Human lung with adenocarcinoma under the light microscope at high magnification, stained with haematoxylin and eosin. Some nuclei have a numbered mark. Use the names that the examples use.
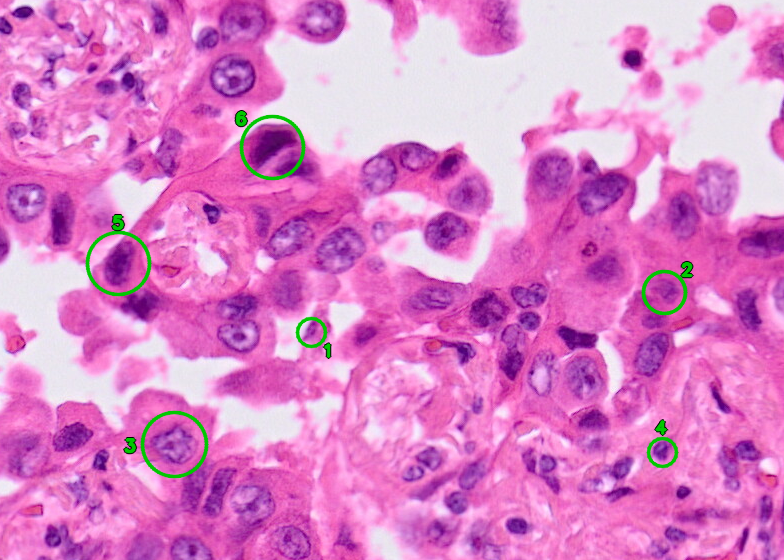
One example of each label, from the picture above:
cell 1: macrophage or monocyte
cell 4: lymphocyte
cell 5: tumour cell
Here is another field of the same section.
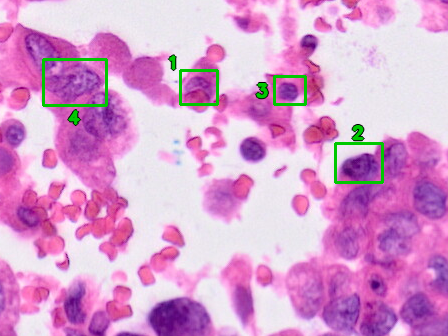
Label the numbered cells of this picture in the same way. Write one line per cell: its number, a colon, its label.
1: macrophage or monocyte
2: tumour cell
3: lymphocyte
4: tumour cell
